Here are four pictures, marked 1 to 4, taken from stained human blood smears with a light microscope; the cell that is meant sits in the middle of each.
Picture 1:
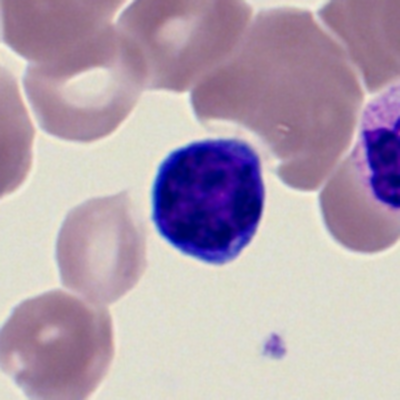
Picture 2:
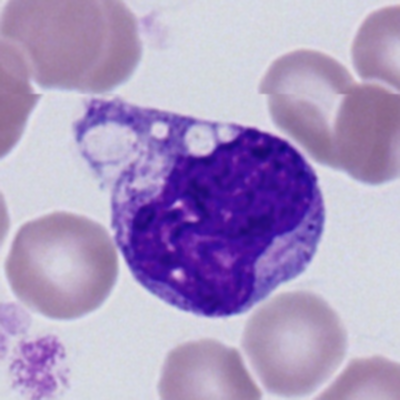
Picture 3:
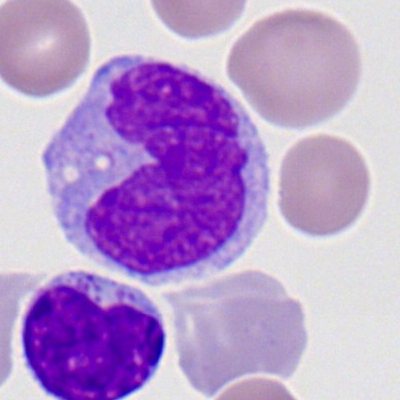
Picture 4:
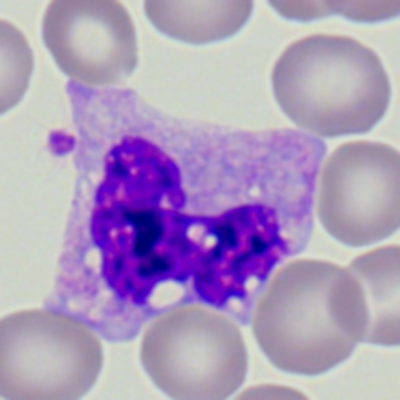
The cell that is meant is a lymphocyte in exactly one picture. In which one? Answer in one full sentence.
Picture 1 shows the lymphocyte.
